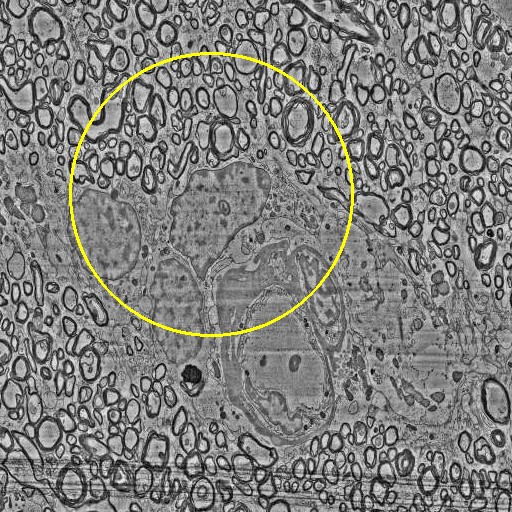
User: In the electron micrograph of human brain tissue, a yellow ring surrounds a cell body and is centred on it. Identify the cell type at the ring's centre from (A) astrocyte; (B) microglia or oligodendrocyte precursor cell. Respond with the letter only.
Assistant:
B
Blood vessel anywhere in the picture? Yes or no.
Yes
